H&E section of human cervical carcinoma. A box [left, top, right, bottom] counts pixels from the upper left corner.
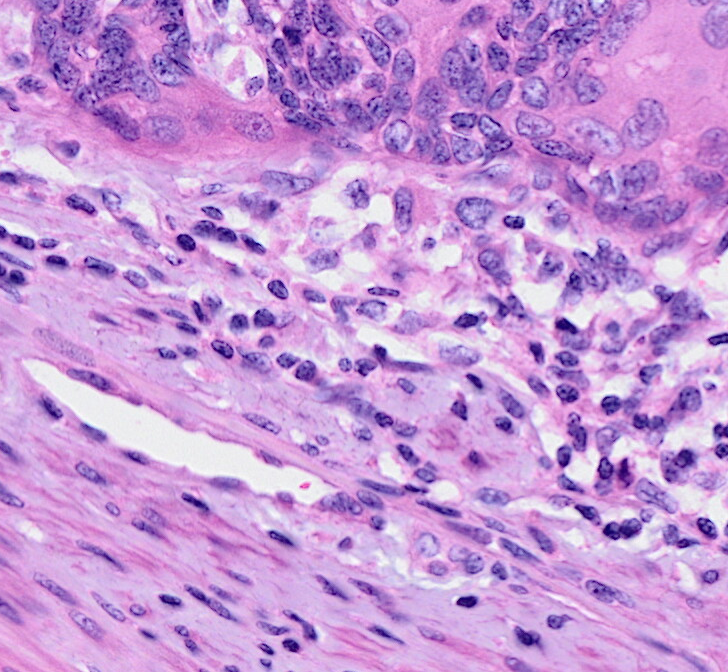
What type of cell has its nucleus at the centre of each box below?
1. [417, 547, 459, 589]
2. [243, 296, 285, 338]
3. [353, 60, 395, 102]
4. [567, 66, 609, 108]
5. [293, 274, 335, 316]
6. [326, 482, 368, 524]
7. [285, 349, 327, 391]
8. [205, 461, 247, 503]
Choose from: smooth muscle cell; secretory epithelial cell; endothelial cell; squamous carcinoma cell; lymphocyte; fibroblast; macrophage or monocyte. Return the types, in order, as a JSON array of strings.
["endothelial cell", "lymphocyte", "squamous carcinoma cell", "squamous carcinoma cell", "lymphocyte", "endothelial cell", "lymphocyte", "endothelial cell"]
